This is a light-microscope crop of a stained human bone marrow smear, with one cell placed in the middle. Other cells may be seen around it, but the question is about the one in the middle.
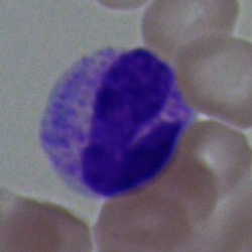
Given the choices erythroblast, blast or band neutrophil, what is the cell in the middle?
band neutrophil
